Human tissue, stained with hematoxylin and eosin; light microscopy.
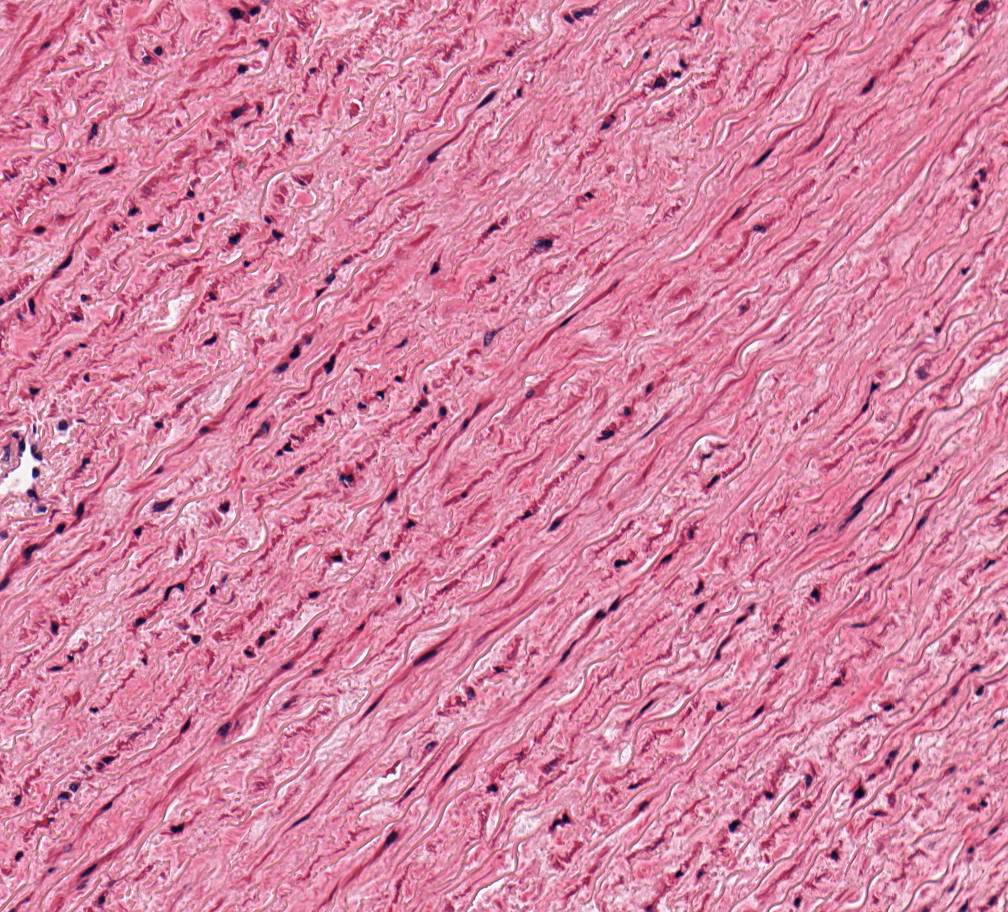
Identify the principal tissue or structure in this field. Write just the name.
tunica media of an artery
